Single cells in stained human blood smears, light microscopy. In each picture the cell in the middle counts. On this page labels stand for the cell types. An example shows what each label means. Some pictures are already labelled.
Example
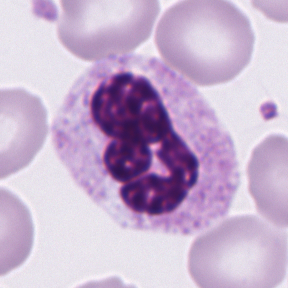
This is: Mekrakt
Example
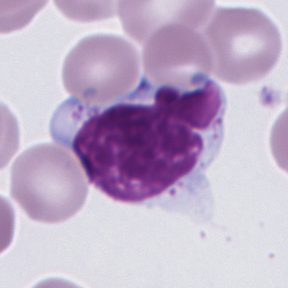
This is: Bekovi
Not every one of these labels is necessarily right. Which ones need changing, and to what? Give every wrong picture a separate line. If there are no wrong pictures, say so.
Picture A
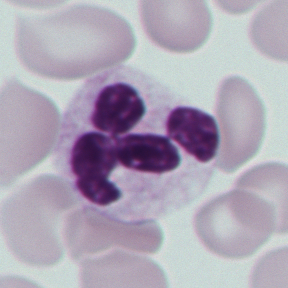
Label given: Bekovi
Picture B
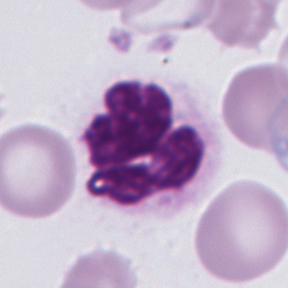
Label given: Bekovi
A: not Bekovi but Mekrakt
B: not Bekovi but Mekrakt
